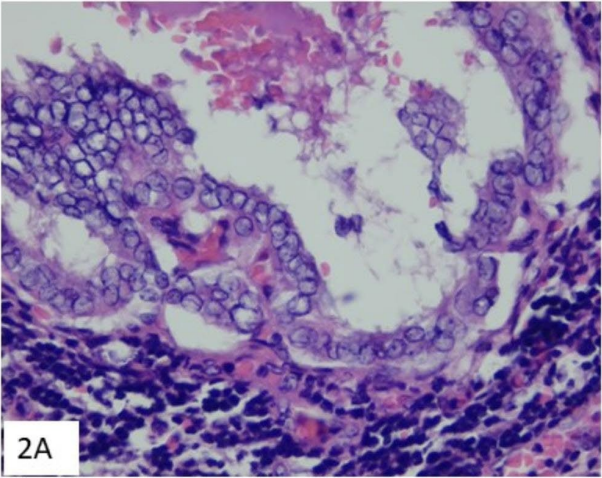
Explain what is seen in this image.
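Papillary thyroid carcinoma lies within lymph node tissue: epithelial cells line branching spaces containing pale and pink material, above a sheet of small, dark, round lymphocytes. The tumour nuclei are enlarged, round to oval, with pale, empty-looking interiors and crisp outlines, and they crowd and overlap one another. Their cytoplasm is pale pink.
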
